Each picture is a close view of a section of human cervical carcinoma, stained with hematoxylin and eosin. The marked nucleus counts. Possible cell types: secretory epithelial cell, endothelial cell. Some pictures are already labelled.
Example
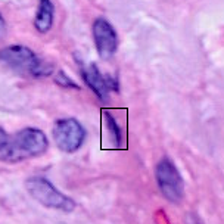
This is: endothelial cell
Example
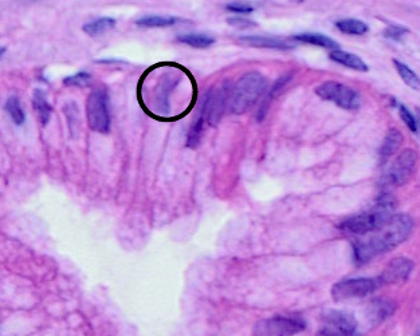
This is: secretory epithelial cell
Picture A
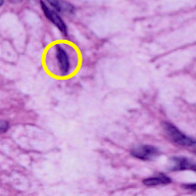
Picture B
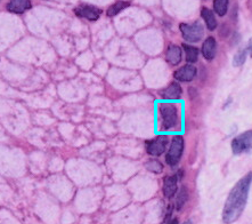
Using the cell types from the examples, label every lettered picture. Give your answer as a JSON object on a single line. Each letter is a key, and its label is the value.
{"A": "secretory epithelial cell", "B": "secretory epithelial cell"}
